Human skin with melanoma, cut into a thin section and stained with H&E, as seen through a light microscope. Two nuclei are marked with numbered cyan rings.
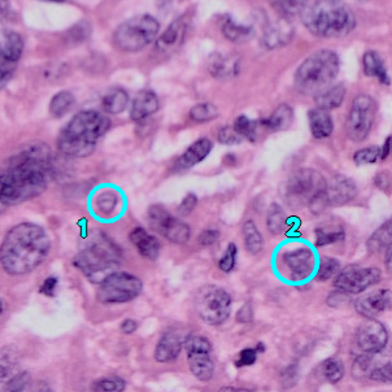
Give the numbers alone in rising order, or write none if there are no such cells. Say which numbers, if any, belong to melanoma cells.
2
